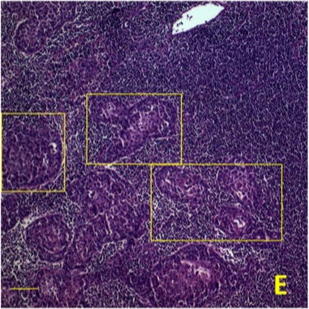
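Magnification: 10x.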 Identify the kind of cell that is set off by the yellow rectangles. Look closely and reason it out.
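Boxed areas hold nests of larger cells with paler pink cytoplasm. The nests lie within densely packed small dark lymphocytes.
Hence: tumor cell.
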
